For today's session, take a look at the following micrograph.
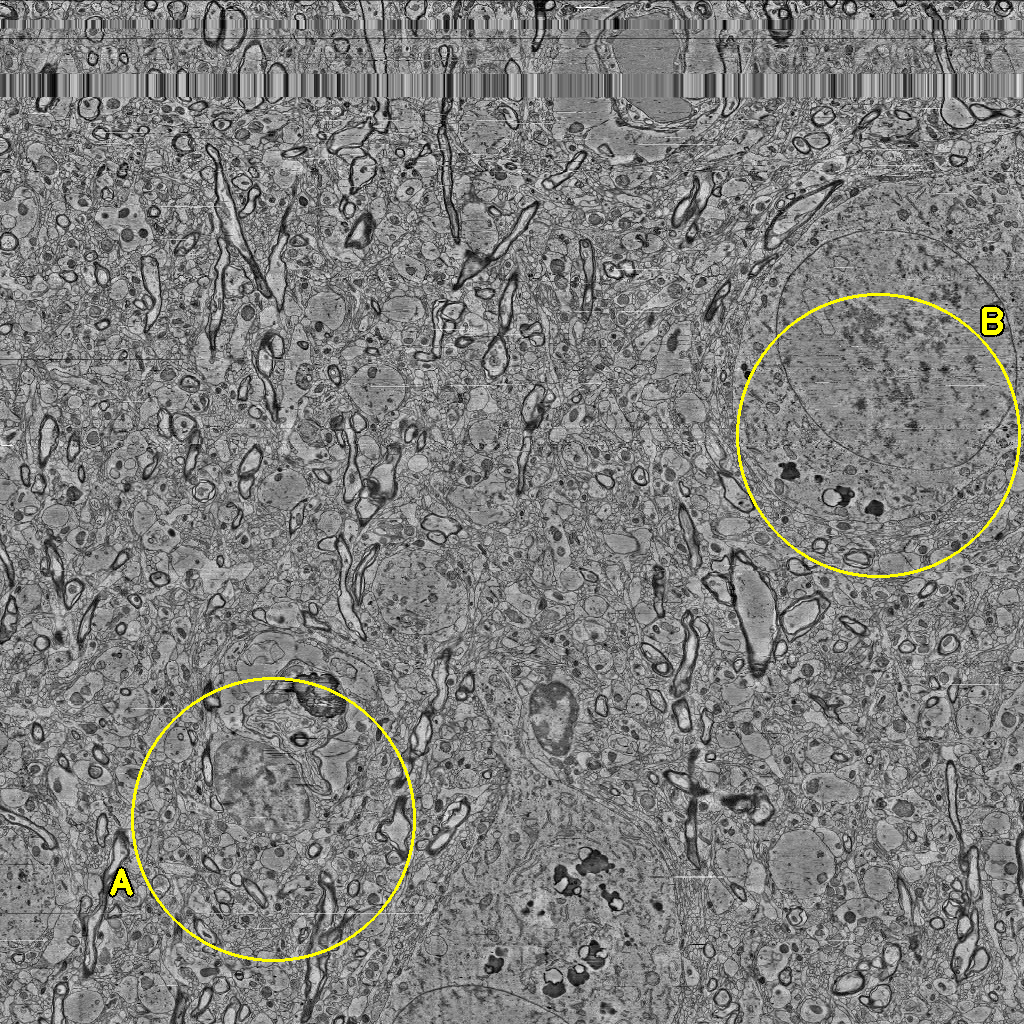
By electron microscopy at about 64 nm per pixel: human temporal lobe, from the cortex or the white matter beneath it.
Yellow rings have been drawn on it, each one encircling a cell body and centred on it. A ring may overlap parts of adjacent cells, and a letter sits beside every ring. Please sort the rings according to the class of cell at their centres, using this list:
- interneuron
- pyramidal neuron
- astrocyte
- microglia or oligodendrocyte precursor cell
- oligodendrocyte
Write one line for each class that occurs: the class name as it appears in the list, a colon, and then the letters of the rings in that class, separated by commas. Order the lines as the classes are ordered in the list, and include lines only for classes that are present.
pyramidal neuron: B
oligodendrocyte: A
